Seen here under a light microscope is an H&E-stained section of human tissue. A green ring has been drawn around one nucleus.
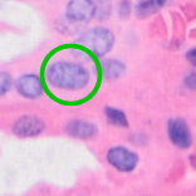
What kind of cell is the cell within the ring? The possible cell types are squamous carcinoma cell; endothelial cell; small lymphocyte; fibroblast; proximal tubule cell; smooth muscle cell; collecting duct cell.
collecting duct cell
